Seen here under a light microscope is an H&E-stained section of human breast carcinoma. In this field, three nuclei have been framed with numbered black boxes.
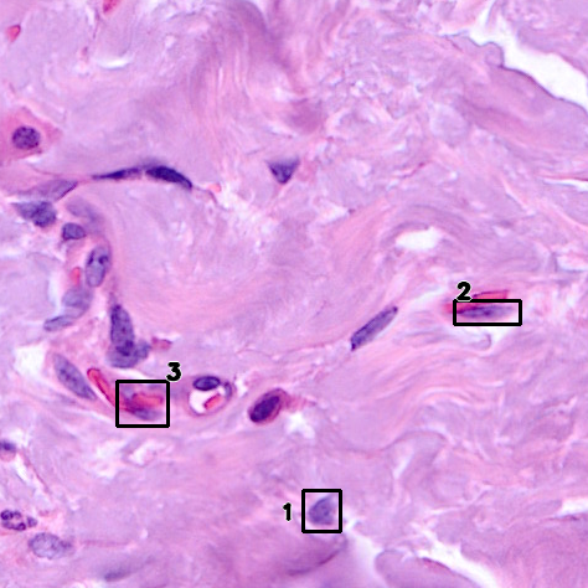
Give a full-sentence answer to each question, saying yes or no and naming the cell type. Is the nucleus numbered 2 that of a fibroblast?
No, the cell denoted 2 is an endothelial cell rather than a fibroblast.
